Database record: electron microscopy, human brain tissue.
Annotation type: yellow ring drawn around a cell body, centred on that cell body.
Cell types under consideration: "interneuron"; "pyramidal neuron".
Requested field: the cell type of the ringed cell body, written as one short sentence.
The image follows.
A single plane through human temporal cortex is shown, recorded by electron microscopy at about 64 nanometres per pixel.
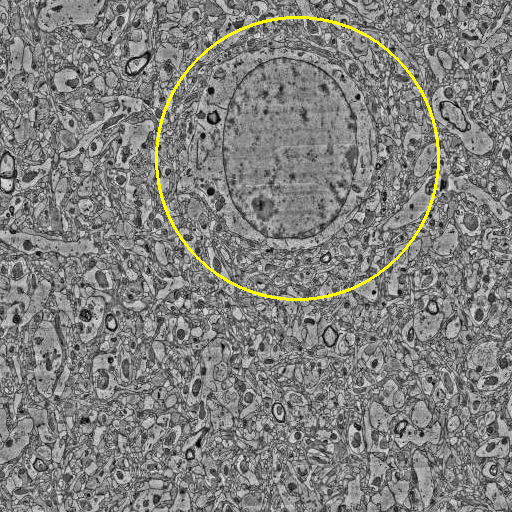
The ringed cell body represents a pyramidal neuron.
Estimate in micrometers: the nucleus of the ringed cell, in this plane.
In this plane the nucleus measures roughly 11 by 9 micrometres.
